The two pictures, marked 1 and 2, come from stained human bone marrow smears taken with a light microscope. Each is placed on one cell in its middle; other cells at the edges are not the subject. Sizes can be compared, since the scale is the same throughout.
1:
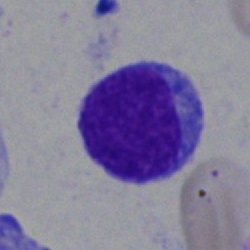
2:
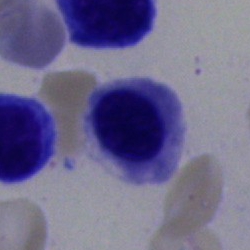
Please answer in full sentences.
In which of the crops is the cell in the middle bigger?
It is the cell in crop 1, about 1.5 times as large in area as the cell in crop 2.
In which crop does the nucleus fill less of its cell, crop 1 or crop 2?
In crop 2 the nucleus takes up the smaller part of its cell.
